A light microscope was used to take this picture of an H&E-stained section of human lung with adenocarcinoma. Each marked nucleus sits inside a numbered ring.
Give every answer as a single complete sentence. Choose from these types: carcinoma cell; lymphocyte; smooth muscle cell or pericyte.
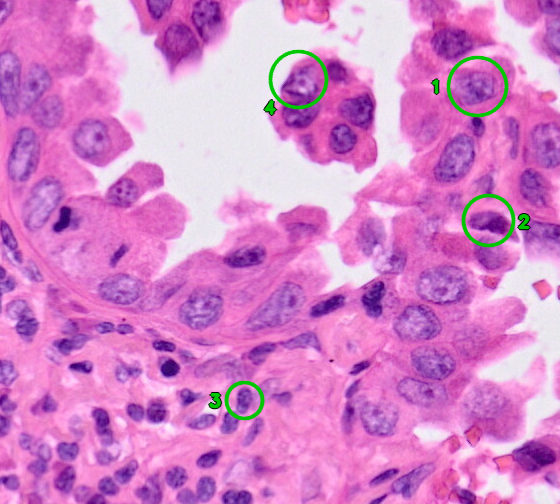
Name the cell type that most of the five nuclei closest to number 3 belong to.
Most of the five nuclei nearest to number 3 are those of lymphocytes.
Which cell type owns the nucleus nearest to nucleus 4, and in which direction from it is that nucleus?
Lying below nucleus 4, the nearest nucleus is that of a carcinoma cell.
